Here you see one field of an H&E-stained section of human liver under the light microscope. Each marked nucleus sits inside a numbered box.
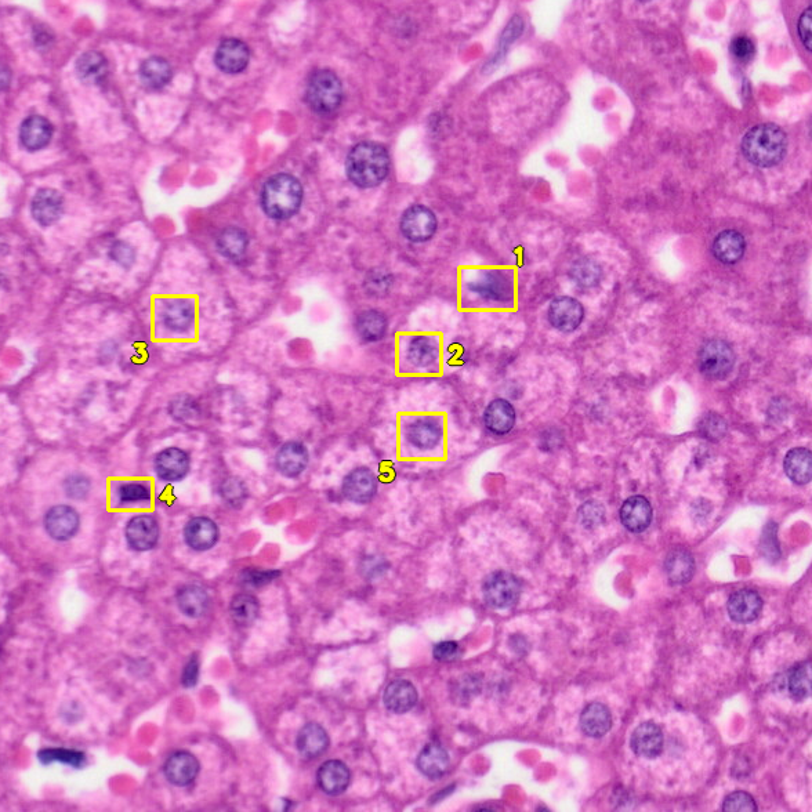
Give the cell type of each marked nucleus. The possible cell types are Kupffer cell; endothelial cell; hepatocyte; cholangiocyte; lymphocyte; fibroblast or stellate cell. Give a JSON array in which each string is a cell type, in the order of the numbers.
["endothelial cell", "hepatocyte", "hepatocyte", "fibroblast or stellate cell", "hepatocyte"]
